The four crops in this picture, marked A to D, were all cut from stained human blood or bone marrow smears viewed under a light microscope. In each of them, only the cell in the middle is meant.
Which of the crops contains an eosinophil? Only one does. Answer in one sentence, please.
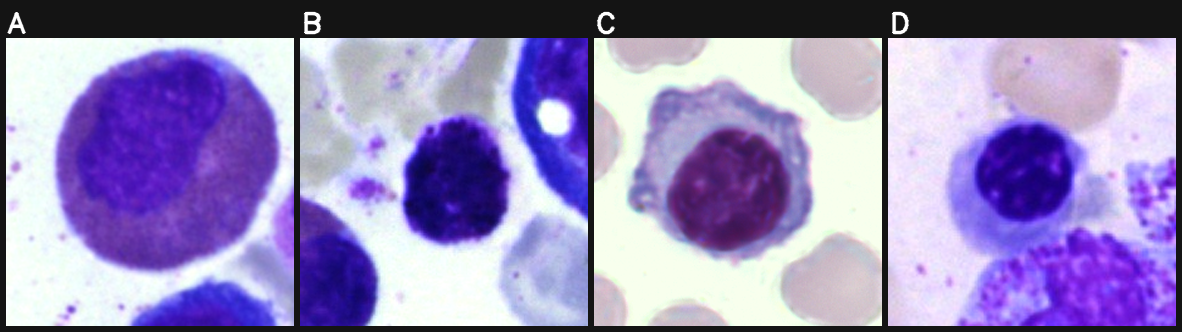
Crop A is the one that shows an eosinophil.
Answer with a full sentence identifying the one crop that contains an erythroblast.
It is crop D, not any other, that shows an erythroblast.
